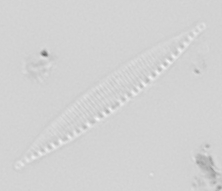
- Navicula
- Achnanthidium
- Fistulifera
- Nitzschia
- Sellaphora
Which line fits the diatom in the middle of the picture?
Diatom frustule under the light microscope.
Nitzschia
